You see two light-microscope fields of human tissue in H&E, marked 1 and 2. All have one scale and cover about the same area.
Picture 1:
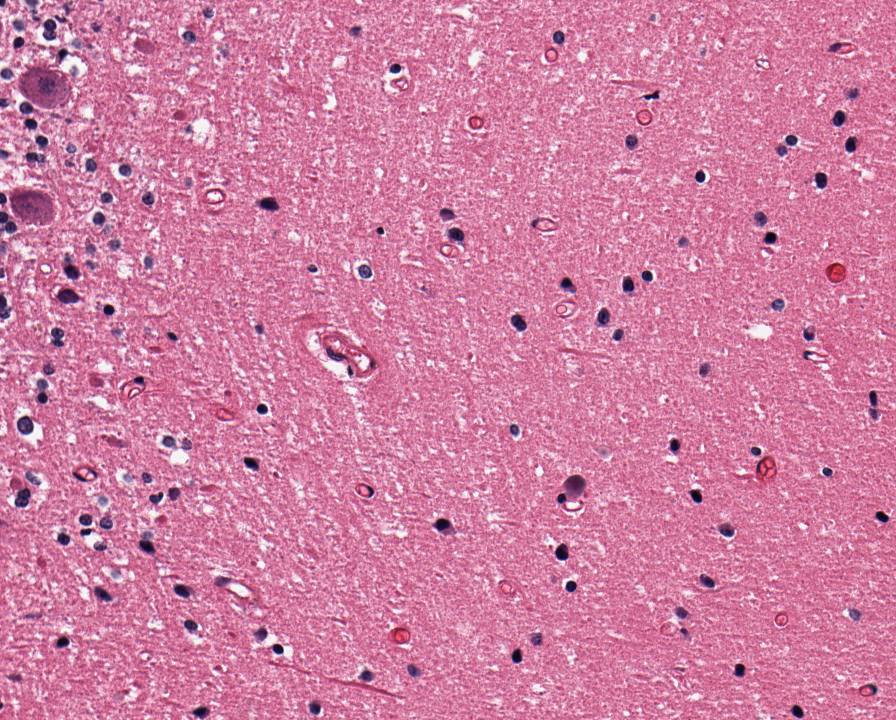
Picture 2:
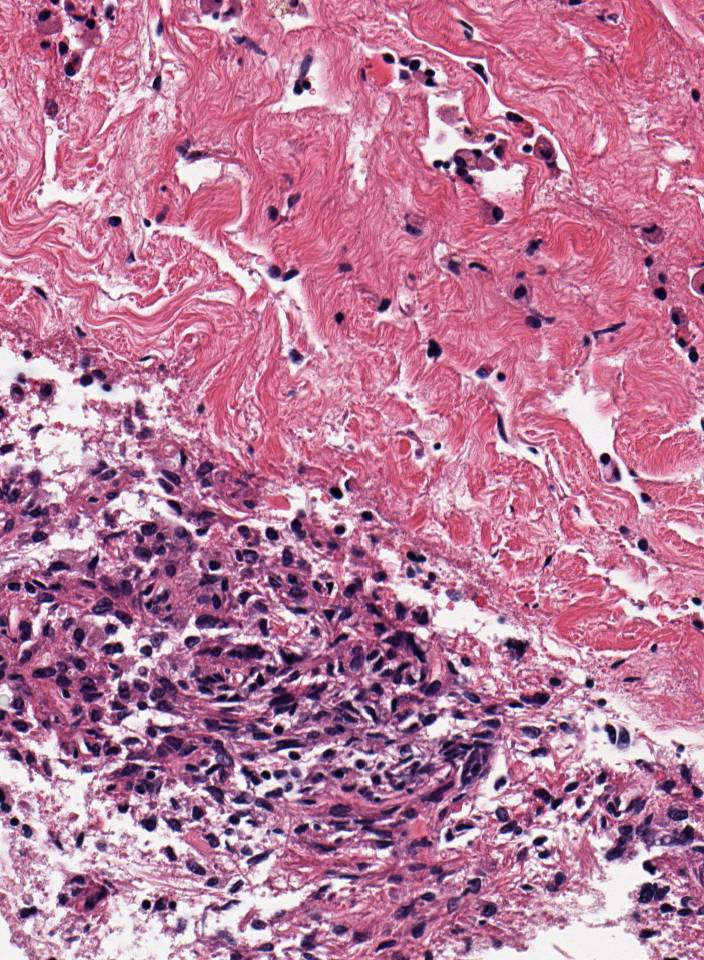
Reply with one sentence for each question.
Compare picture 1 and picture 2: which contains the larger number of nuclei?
Picture 2 holds more nuclei than picture 1.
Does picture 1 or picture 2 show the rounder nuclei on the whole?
It is picture 1 whose nuclei are the rounder.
